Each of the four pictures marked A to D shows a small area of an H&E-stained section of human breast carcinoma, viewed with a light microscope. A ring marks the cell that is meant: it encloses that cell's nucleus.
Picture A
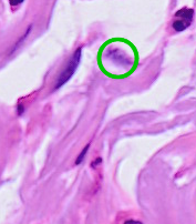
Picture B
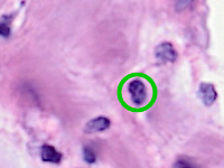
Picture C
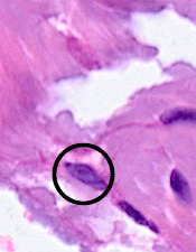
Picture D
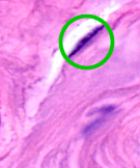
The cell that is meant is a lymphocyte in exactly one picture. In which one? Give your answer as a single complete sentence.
It is picture B that shows the lymphocyte.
